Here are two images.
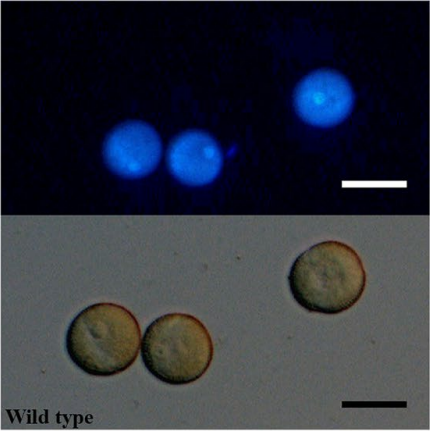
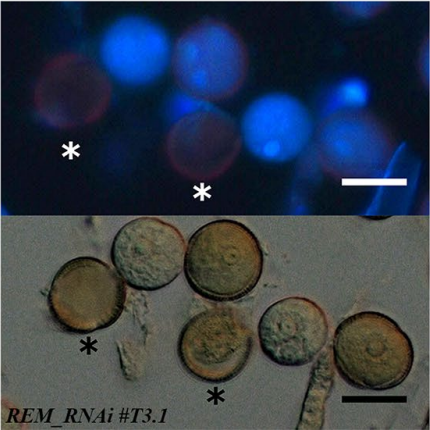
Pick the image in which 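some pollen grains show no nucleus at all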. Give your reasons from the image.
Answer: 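Second image: two marked grains lack blue fluorescence and show only a faint reddish rim. First image: all three grains glow blue.
Conclusion: the second image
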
